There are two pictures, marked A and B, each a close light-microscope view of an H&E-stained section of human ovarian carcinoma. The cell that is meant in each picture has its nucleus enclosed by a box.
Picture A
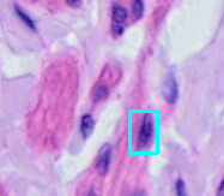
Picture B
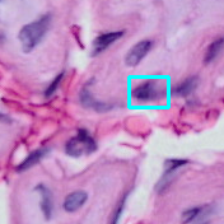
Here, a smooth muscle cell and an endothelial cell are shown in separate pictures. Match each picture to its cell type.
A: smooth muscle cell
B: endothelial cell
